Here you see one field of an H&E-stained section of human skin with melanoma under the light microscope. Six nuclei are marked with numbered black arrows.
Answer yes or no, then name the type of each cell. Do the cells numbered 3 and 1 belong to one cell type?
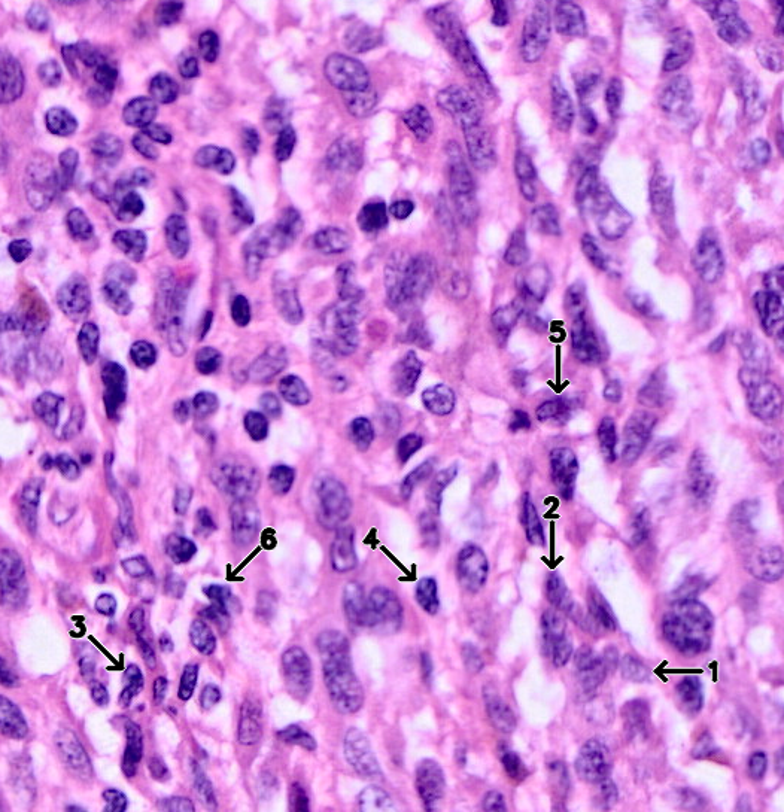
No, sorry, cell 3 is a lymphocyte and cell 1 is a melanoma cell.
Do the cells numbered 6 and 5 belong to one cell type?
No, cell 6 should be called a lymphocyte, and cell 5 should be called a melanoma cell.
